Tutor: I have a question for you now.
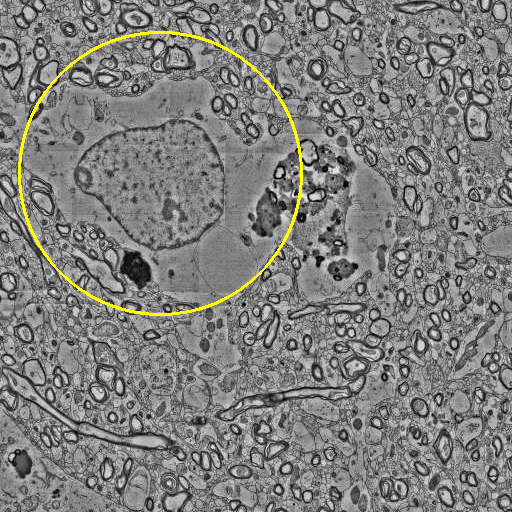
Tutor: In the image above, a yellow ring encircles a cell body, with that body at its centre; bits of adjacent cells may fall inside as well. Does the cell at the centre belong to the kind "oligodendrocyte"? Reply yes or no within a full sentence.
No, the centred cell inside the ring belongs to another kind.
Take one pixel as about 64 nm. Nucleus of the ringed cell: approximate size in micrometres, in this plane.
Roughly 10 micrometres by 8 micrometres, in this plane.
